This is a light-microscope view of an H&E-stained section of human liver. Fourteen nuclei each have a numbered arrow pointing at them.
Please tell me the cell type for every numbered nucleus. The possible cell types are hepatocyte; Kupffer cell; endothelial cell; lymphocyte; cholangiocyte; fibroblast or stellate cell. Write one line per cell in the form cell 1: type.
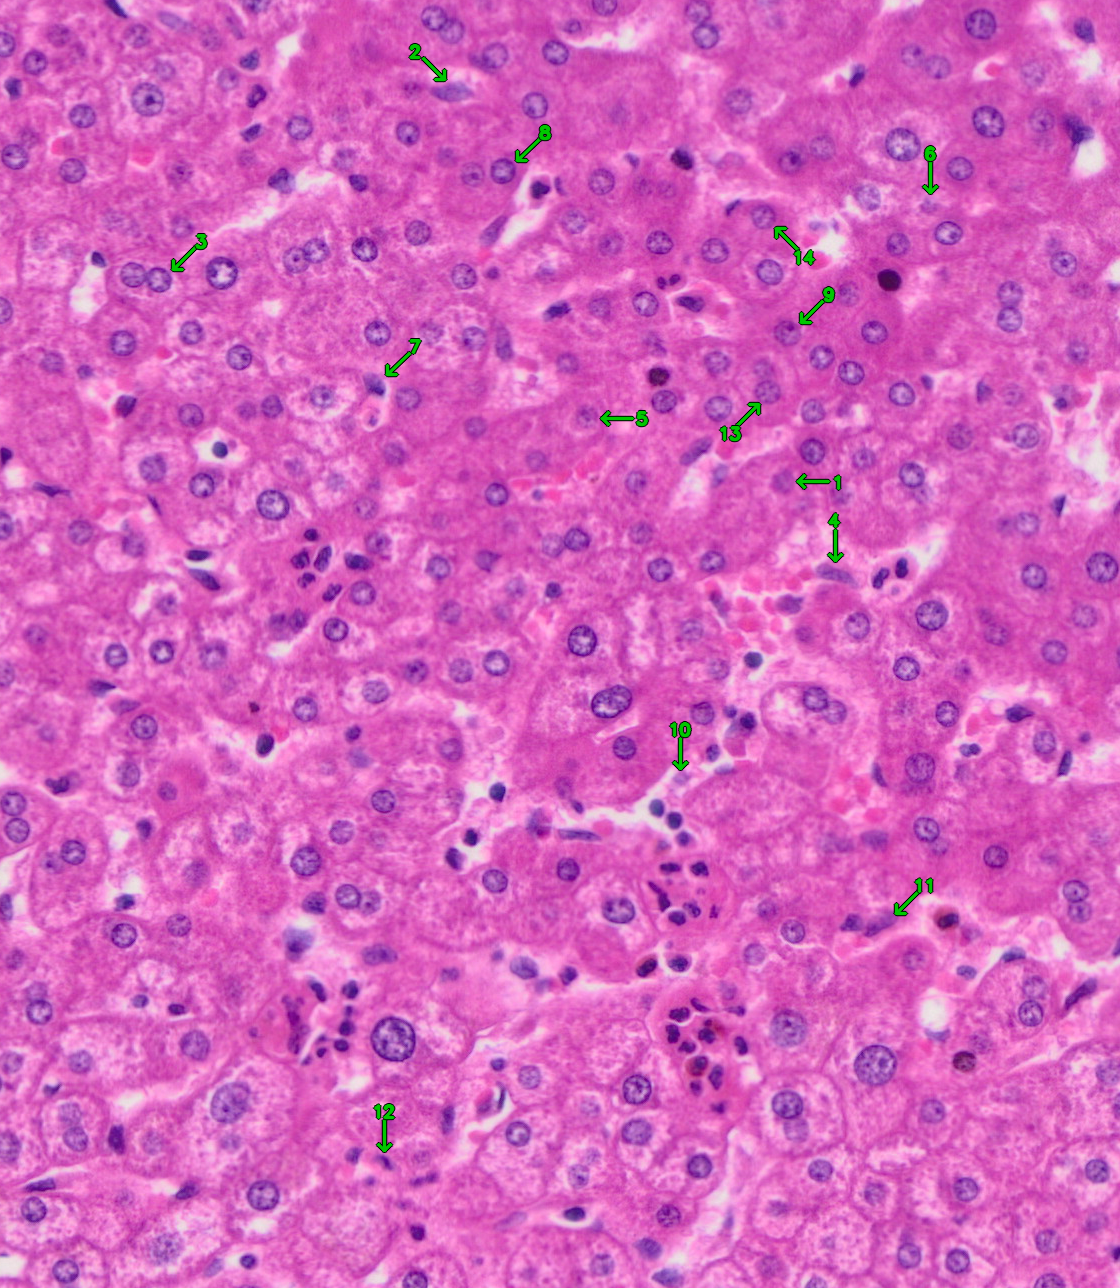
cell 1: hepatocyte
cell 2: Kupffer cell
cell 3: hepatocyte
cell 4: Kupffer cell
cell 5: hepatocyte
cell 6: hepatocyte
cell 7: endothelial cell
cell 8: hepatocyte
cell 9: hepatocyte
cell 10: Kupffer cell
cell 11: Kupffer cell
cell 12: endothelial cell
cell 13: hepatocyte
cell 14: hepatocyte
